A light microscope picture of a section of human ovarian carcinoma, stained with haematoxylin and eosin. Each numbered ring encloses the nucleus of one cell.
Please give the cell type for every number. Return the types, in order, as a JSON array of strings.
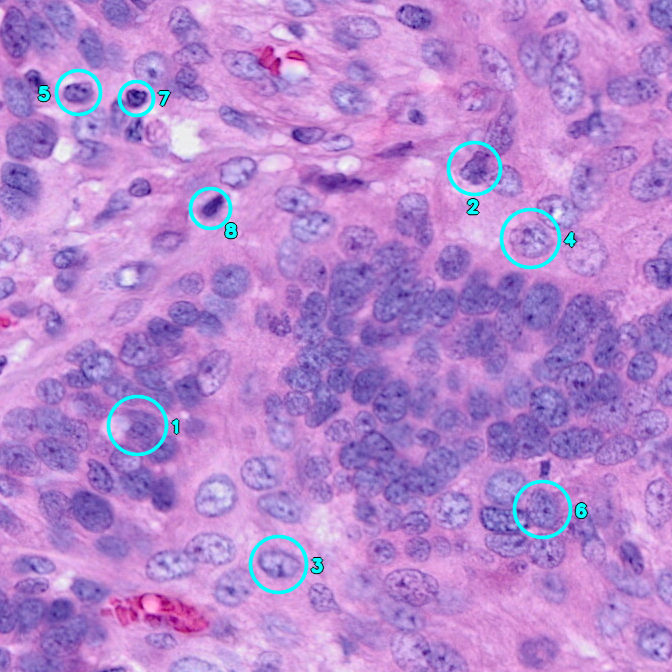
["carcinoma cell", "macrophage or monocyte", "fibroblast", "fibroblast", "macrophage or monocyte", "carcinoma cell", "lymphocyte", "lymphocyte"]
